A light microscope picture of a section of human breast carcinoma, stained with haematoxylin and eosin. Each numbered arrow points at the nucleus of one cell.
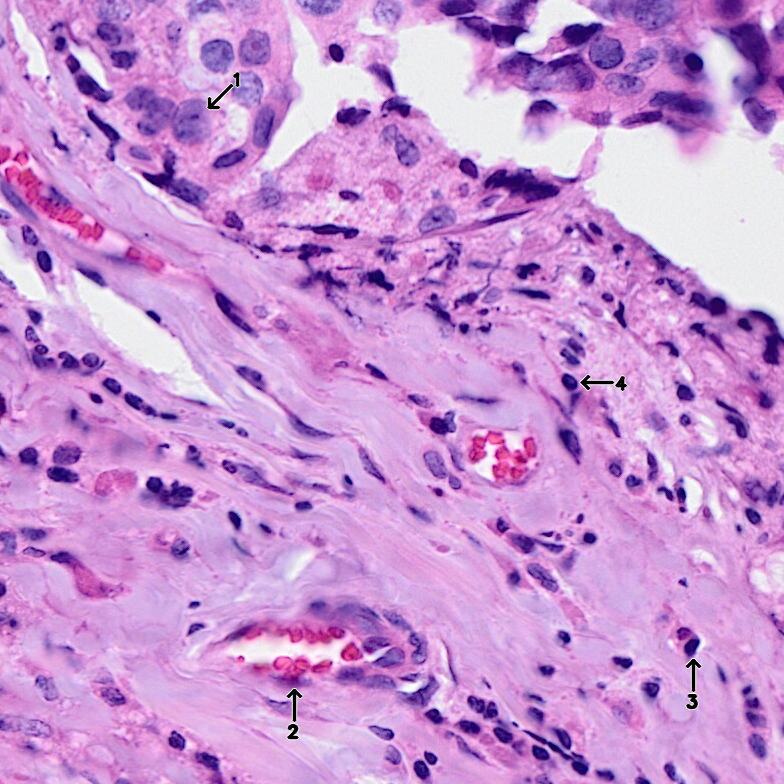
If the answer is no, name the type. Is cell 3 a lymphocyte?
Yes.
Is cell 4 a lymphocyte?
Yes.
